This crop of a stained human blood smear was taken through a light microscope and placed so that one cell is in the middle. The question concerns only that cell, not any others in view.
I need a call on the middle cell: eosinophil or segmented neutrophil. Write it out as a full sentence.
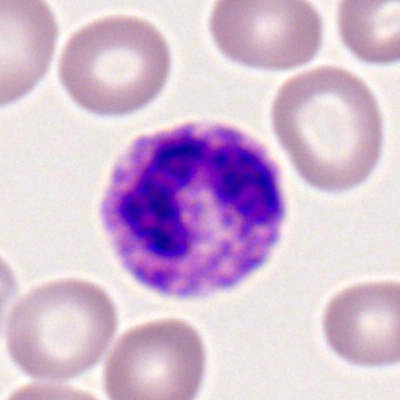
For this crop, the cell in the middle is an eosinophil.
